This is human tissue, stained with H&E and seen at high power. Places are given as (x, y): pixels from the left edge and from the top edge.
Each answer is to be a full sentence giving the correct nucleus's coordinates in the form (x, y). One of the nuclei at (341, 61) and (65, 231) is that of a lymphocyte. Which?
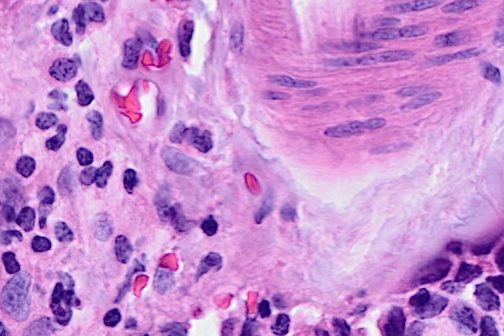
Of these two nuclei, it is the one at (65, 231) that belongs to a lymphocyte.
